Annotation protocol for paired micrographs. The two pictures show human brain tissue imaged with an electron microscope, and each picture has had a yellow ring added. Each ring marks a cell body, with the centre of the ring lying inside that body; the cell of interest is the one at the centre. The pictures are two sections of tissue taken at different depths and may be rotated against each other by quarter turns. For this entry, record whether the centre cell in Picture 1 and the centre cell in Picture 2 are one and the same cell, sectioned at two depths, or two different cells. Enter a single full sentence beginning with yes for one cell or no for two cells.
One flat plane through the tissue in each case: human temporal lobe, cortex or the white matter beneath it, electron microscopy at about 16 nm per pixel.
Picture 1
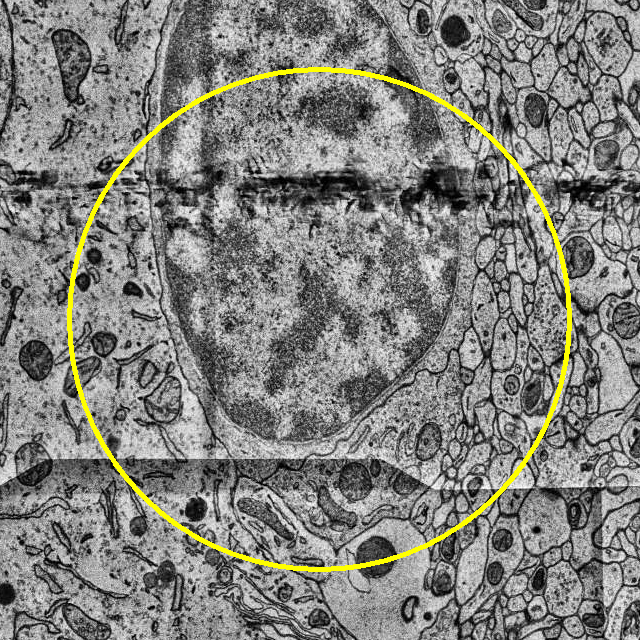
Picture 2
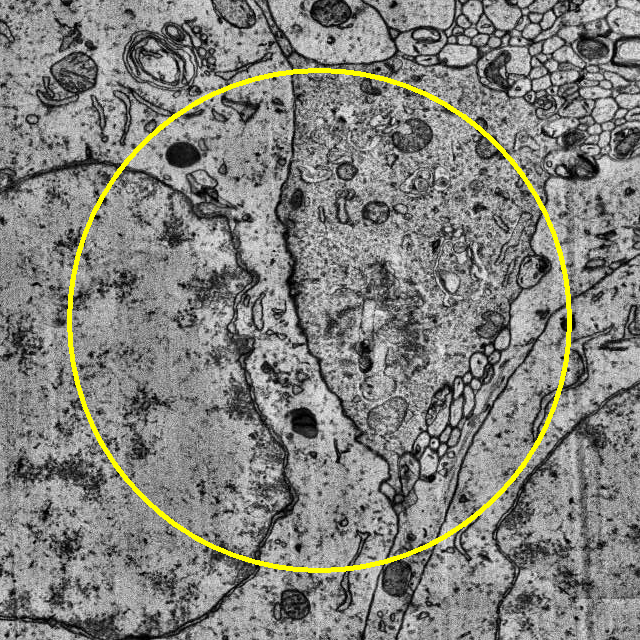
No, the circled cells number two, not one.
